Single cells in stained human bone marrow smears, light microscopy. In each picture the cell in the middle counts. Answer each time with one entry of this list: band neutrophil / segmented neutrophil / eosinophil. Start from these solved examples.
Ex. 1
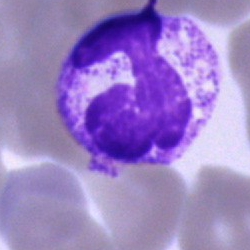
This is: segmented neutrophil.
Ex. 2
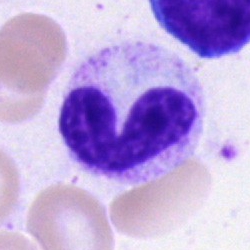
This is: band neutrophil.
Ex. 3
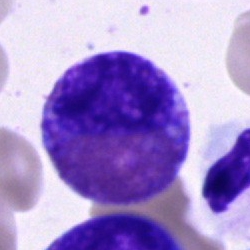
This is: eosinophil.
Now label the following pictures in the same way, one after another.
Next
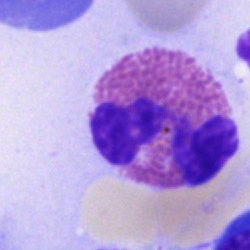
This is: eosinophil.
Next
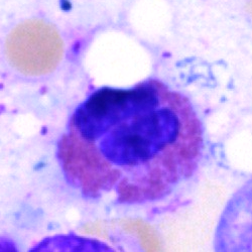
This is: eosinophil.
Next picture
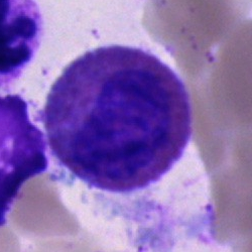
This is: eosinophil.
